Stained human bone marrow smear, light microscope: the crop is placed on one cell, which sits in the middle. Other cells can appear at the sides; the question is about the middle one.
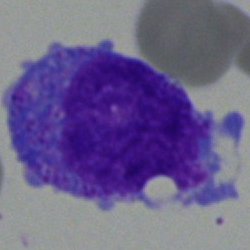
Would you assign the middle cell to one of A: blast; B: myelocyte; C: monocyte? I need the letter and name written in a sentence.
Option C is right, the centrally situated cell being a monocyte.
